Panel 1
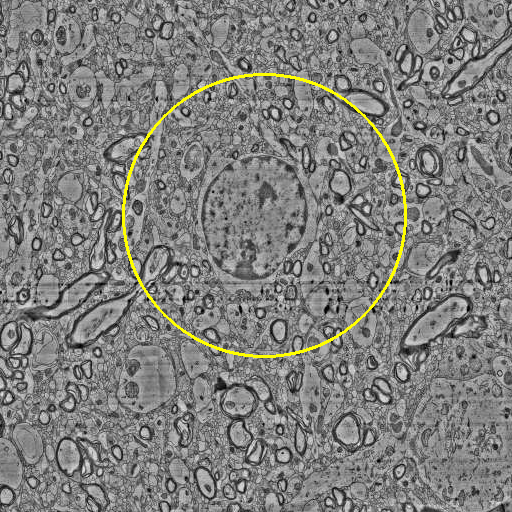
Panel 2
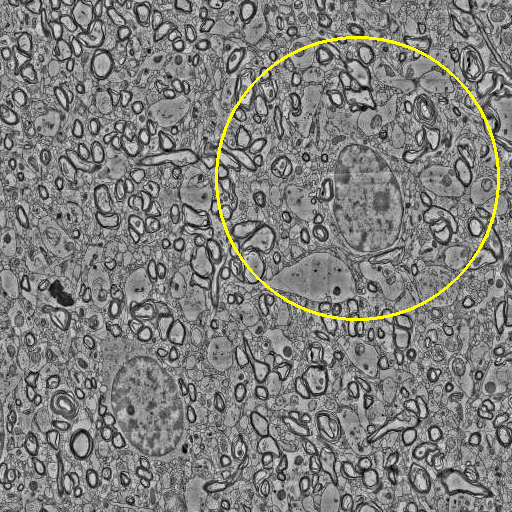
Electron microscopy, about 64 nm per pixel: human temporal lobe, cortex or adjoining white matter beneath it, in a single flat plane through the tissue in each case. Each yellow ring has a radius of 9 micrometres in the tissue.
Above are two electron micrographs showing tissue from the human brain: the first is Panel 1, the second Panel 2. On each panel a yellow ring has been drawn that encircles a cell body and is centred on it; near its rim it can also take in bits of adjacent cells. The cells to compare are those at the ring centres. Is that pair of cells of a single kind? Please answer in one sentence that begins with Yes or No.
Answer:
Yes, the ring-centred cells of Panel 1 and Panel 2 belong to one kind.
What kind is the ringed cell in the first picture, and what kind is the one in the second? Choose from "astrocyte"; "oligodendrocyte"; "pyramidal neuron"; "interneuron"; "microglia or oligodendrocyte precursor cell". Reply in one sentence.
In each picture the ringed cell is a microglial cell or oligodendrocyte precursor cell.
